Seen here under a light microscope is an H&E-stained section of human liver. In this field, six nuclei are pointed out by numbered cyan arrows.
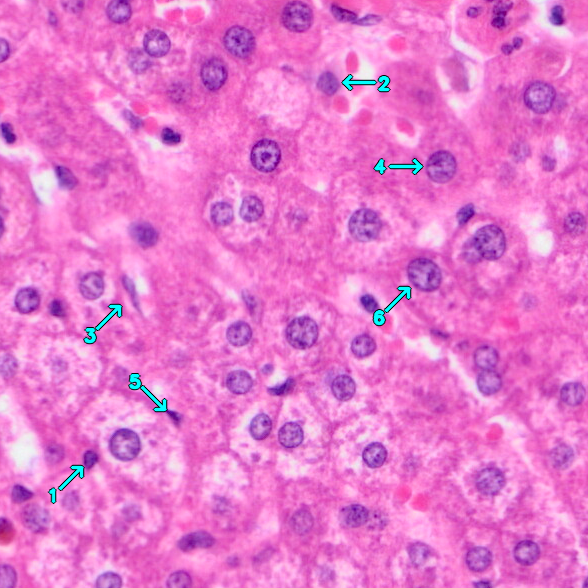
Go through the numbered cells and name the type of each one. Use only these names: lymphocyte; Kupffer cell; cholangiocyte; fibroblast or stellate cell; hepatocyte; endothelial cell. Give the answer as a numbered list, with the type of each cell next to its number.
1. fibroblast or stellate cell
2. Kupffer cell
3. Kupffer cell
4. hepatocyte
5. endothelial cell
6. hepatocyte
